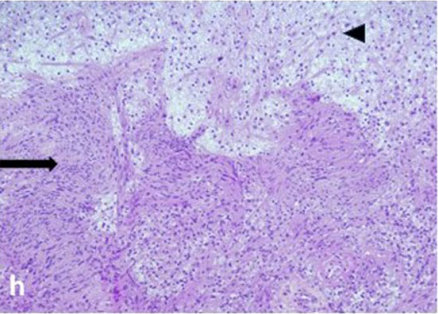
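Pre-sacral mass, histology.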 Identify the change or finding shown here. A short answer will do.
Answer: Schwannoma.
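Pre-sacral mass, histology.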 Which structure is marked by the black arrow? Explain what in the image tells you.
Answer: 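Antoni A. The area at the arrow is densely packed with elongated nuclei. The cells form compact fascicles with pink fibrillary stroma.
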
